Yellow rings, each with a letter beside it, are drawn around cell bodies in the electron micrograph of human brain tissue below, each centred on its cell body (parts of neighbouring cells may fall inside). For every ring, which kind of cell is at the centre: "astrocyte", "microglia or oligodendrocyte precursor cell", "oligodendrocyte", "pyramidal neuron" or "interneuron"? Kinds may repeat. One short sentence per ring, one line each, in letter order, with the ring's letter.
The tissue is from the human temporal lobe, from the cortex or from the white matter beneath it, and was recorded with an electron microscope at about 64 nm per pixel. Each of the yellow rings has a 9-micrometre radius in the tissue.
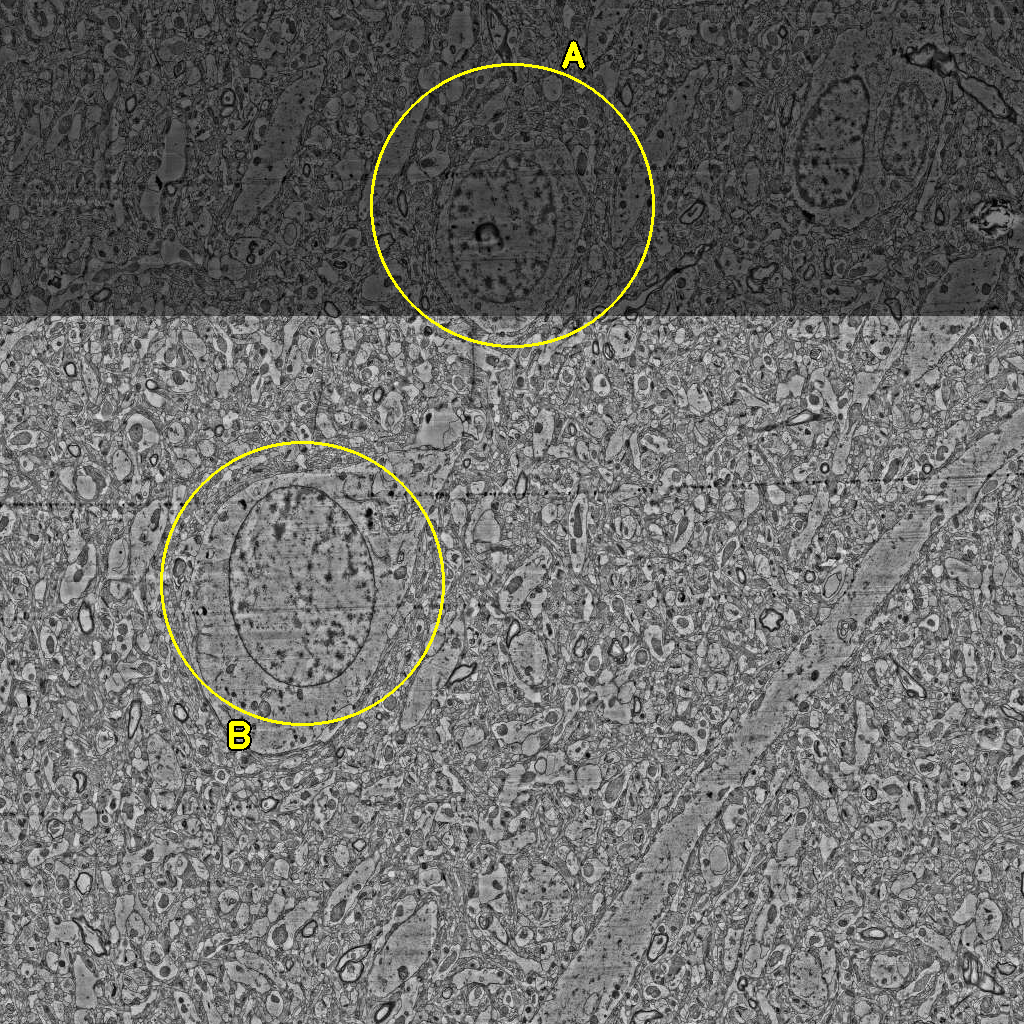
The cell in ring A is an interneuron.
The cell in ring B is a pyramidal neuron.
